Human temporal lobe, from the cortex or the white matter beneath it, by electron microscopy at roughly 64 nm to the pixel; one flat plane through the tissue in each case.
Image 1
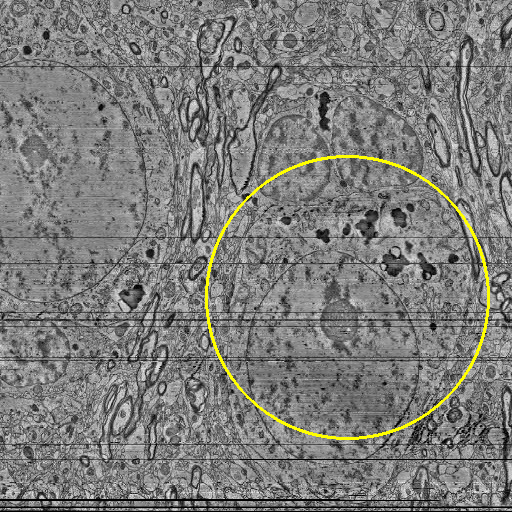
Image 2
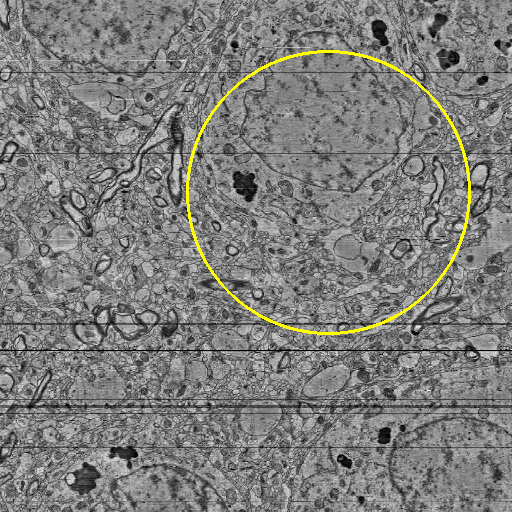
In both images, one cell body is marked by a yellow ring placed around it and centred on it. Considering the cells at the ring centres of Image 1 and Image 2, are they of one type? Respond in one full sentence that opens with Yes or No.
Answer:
Yes, a single type applies to the ring-centred cells of both Image 1 and Image 2.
